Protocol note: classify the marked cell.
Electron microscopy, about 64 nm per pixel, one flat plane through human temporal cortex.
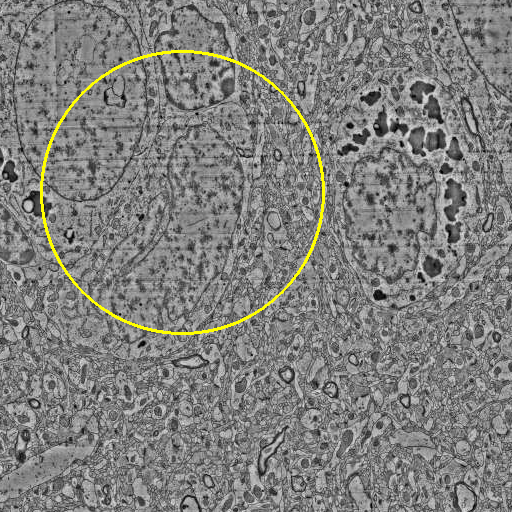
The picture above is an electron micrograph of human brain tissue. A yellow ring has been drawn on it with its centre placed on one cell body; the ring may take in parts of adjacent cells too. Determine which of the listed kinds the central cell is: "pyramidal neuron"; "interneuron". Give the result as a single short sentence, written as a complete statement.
The central cell is an interneuron.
